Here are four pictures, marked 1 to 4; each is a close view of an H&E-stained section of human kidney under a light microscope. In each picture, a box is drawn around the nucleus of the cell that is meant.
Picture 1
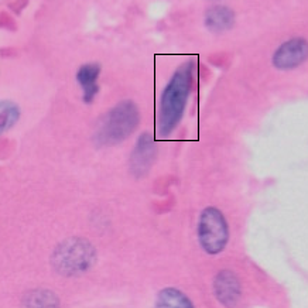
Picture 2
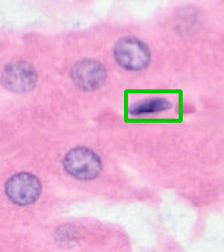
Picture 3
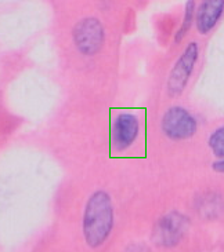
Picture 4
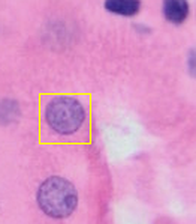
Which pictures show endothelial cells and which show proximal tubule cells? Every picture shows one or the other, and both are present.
1: endothelial cell
2: endothelial cell
3: endothelial cell
4: proximal tubule cell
